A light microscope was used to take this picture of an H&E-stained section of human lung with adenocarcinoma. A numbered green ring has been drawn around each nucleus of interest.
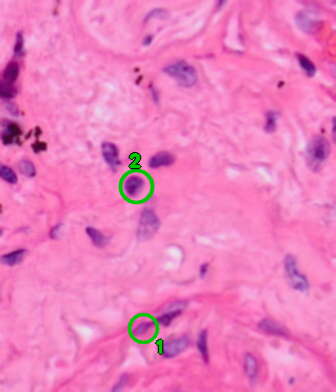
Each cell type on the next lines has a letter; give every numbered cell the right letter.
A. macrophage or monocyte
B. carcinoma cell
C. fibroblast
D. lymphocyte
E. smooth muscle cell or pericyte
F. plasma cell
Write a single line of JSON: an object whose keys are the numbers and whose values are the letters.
{"1": "E", "2": "D"}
